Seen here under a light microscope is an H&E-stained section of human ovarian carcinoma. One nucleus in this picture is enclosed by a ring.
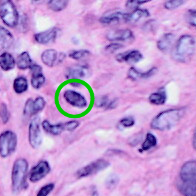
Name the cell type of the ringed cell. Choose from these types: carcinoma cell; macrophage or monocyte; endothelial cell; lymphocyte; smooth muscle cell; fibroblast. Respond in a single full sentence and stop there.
In terms of identity, the ringed cell is a lymphocyte.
